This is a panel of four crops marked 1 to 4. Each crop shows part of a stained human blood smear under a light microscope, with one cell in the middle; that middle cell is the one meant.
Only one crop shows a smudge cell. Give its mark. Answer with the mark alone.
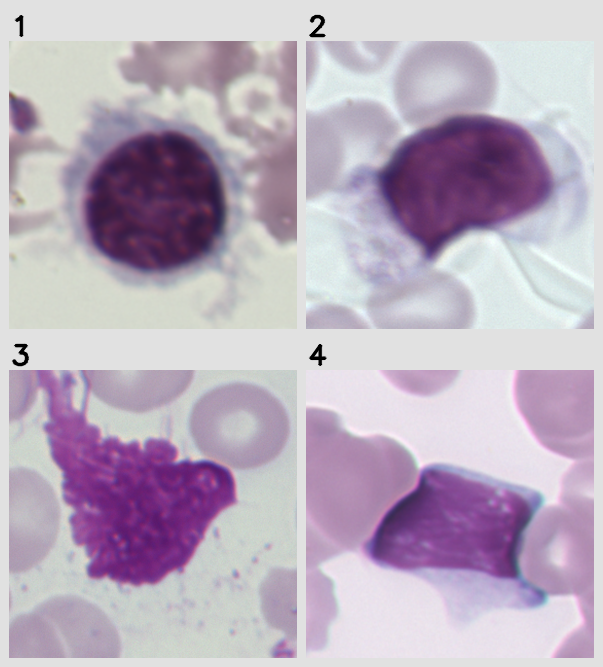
3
